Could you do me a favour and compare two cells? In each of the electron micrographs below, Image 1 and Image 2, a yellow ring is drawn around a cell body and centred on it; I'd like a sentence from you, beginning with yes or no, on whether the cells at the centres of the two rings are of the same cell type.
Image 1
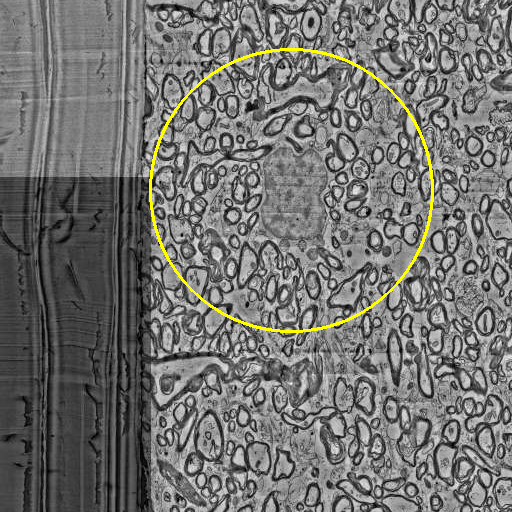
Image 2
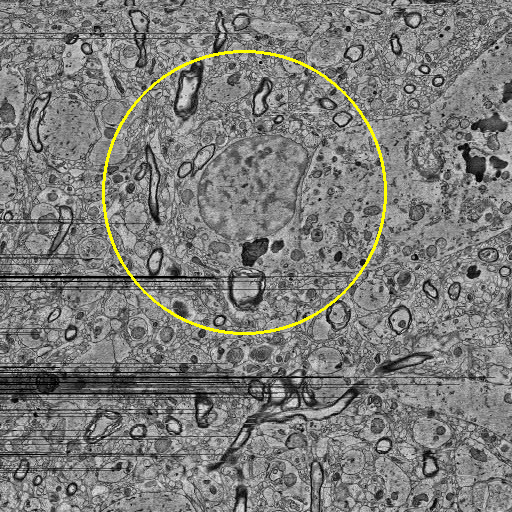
Yes, the two cells are of the same cell type.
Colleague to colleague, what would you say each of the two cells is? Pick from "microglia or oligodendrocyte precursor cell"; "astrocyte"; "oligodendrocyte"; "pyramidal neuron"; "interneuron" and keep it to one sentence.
Both the first and the second picture show an oligodendrocyte in the ring.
